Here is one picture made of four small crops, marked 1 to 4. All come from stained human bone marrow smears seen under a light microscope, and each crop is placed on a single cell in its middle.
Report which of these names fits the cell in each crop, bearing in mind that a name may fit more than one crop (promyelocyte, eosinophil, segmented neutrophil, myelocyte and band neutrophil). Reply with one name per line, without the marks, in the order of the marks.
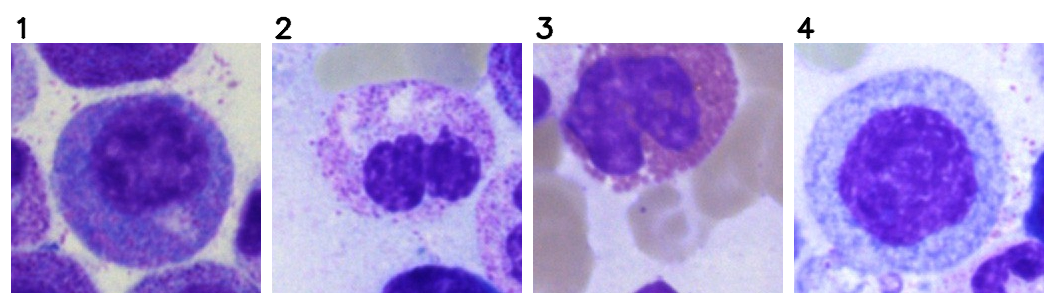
promyelocyte
segmented neutrophil
eosinophil
promyelocyte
